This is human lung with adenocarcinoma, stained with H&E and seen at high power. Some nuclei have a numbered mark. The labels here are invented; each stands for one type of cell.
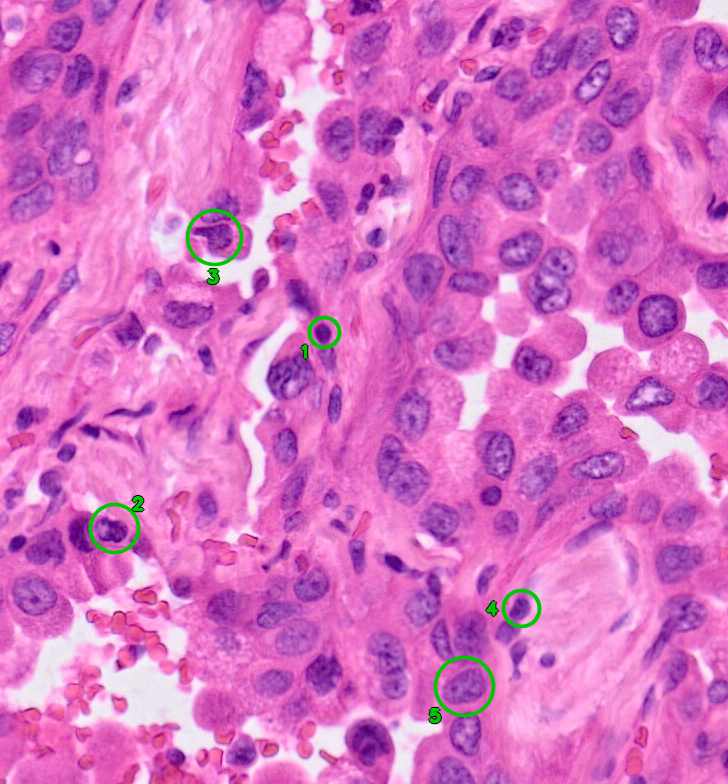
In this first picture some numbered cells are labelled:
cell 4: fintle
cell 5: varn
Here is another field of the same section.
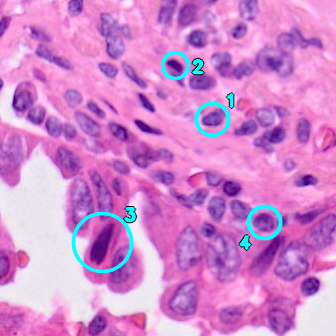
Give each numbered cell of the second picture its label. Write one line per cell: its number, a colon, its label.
1: fintle
2: fintle
3: varn
4: fintle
